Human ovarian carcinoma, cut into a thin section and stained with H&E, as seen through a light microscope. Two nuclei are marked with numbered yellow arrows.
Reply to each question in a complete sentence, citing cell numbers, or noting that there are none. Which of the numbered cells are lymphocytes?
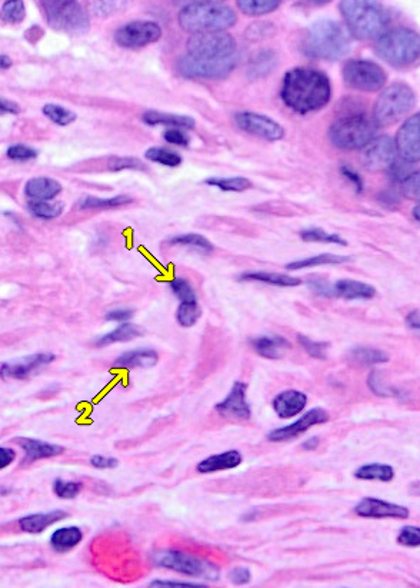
Only the nucleus marked 1 is that of a lymphocyte.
